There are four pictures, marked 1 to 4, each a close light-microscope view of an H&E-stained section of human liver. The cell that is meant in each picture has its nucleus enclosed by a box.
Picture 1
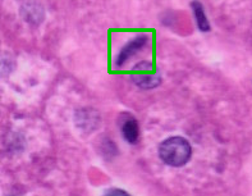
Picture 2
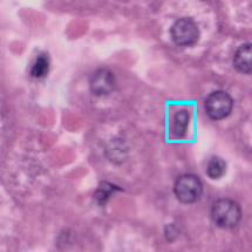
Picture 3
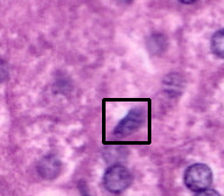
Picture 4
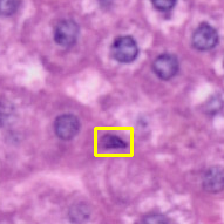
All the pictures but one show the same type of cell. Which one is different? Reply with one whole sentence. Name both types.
All pictures except 3 show “fibroblasts or stellate cells”; picture 3 shows an endothelial cell.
